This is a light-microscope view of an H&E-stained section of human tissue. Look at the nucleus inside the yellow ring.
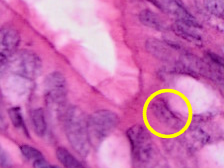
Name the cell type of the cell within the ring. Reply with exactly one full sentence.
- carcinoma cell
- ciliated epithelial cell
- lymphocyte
For the purposes of cell typing, the cell within the ring is categorized as a ciliated epithelial cell.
